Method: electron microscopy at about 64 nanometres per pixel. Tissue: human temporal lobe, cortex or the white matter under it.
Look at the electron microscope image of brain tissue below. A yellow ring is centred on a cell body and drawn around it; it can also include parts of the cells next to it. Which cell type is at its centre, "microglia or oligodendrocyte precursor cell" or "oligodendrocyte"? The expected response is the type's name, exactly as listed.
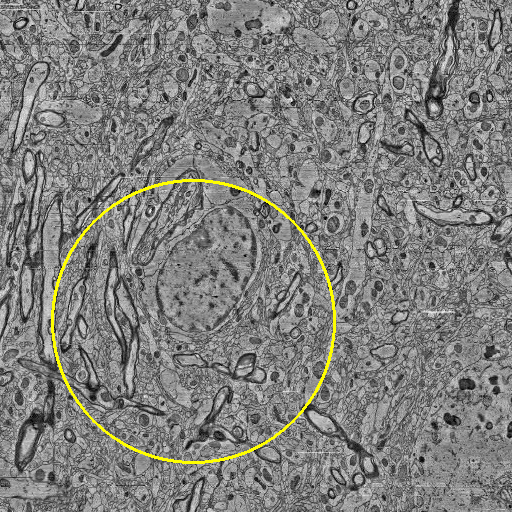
microglia or oligodendrocyte precursor cell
